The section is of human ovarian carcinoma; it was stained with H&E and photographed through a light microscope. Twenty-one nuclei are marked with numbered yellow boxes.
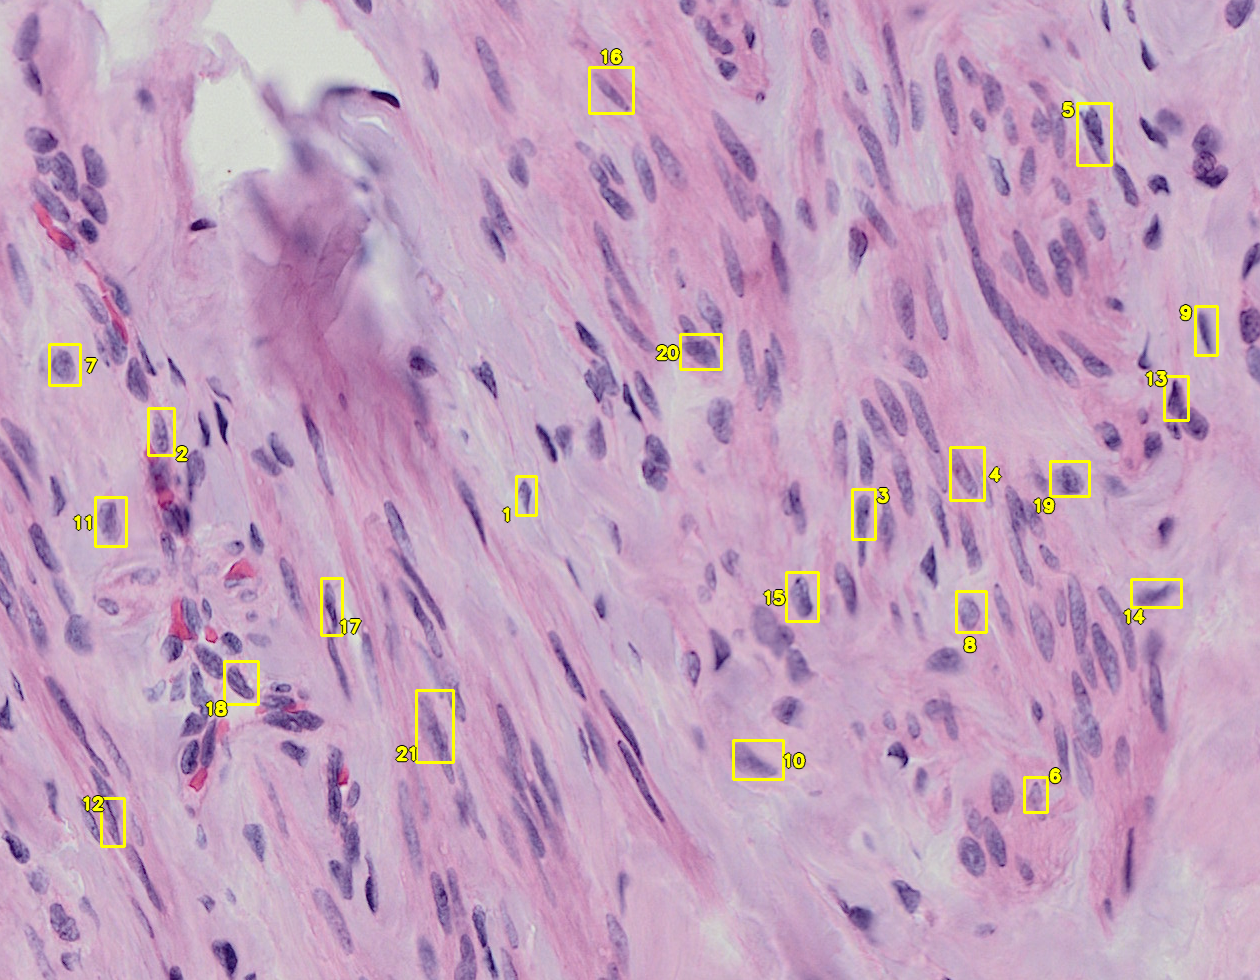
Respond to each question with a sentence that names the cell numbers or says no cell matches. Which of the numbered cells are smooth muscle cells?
The cells bearing the numbers 3, 4, 6, 8, 12, 16, 17, 20 and 21 are smooth muscle cells.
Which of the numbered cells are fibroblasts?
The cells numbered 1, 5, 7, 9, 10, 11, 14, 15 and 19 fall into the category of fibroblasts.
